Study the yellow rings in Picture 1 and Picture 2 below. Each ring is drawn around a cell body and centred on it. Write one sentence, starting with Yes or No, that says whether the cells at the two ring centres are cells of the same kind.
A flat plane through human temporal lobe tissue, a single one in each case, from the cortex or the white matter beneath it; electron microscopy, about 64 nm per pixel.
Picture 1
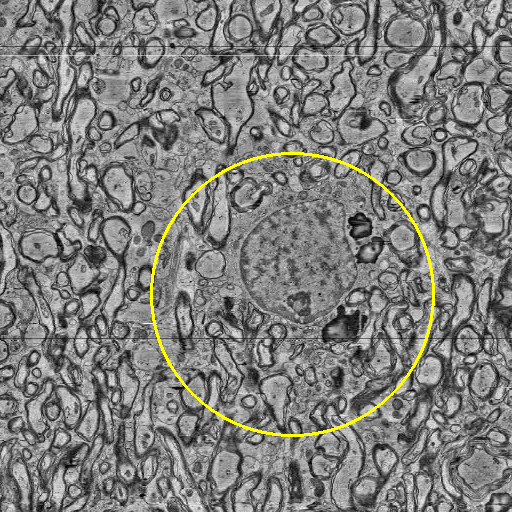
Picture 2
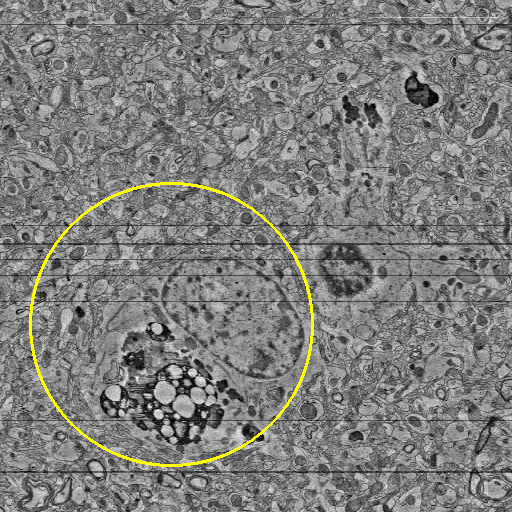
No, the cells at the ring centres are of two kinds.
